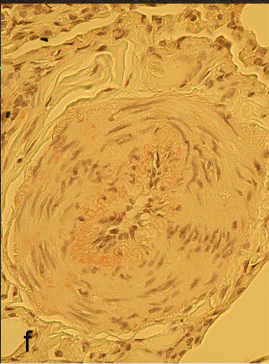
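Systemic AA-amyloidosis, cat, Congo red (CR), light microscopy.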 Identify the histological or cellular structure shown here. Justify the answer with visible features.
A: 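A round structure with a thick concentric wall. Elongated nuclei arranged circumferentially in the wall. A narrow slit-like lumen in the centre. On this evidence: Artery.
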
